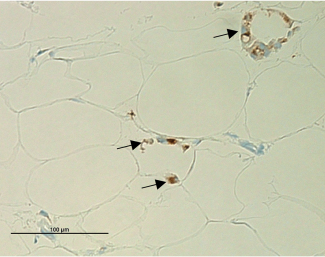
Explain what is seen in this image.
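This is white adipose tissue made of large, empty, polygonal adipocytes outlined by thin membranes, with a few flattened blue nuclei pressed at their rims. Scattered in the septa between them are small brown-stained macrophages. At the top right the brown cells cluster in a ring around a small rounded space, forming a crown-like structure, while the other brown cells lie singly or in small groups along the adipocyte borders.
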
